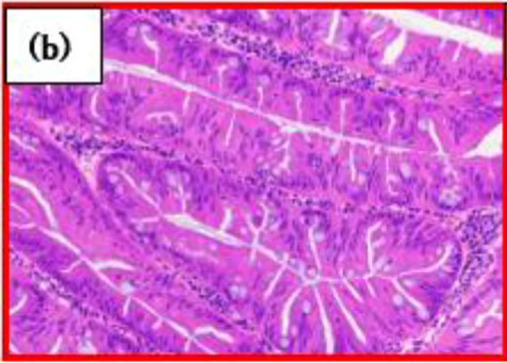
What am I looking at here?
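This is a high-power view of an adenomatous polyp made of long, slender villous fronds that run in parallel across the field. The fronds are lined by tall columnar epithelial cells with abundant pink eosinophilic cytoplasm and elongated, pencil-shaped purple nuclei. Narrow slit-like spaces separate the epithelial surfaces, and thin cores of stroma with small dark inflammatory cells run through the fronds. A few small rounded clear goblet-like vacuoles are scattered among the epithelial cells.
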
